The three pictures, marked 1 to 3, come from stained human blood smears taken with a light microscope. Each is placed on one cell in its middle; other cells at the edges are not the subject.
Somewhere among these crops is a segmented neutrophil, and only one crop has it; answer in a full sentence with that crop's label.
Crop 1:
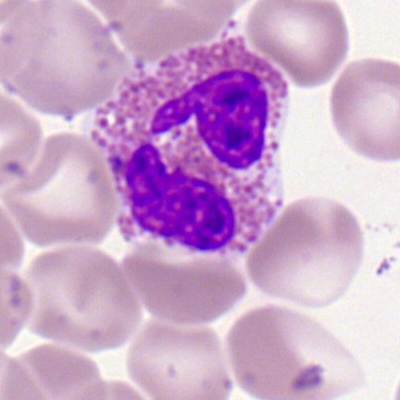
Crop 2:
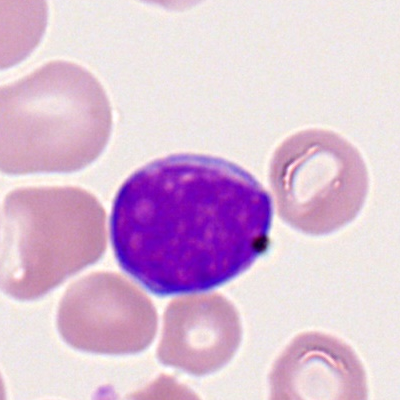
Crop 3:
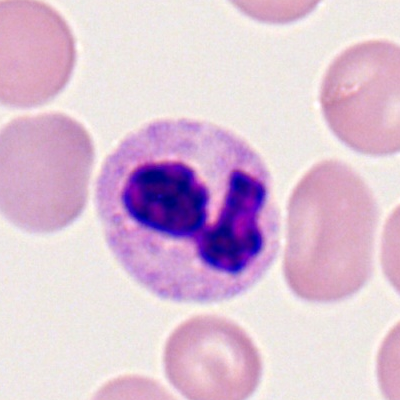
It is in crop 3, among all the crops, that a segmented neutrophil is present.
